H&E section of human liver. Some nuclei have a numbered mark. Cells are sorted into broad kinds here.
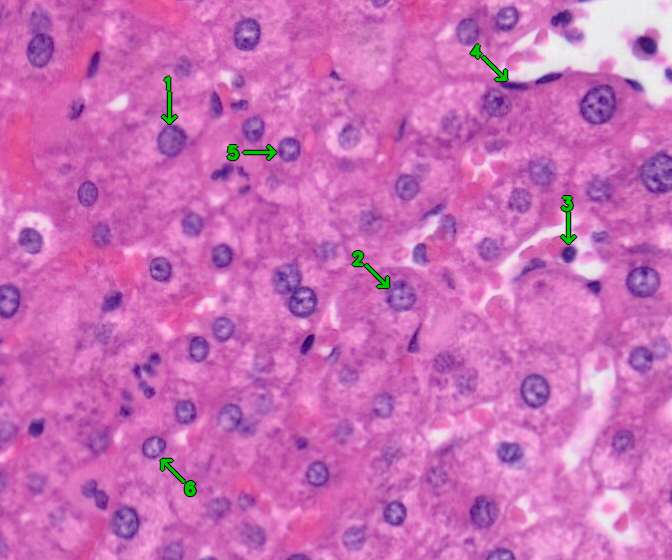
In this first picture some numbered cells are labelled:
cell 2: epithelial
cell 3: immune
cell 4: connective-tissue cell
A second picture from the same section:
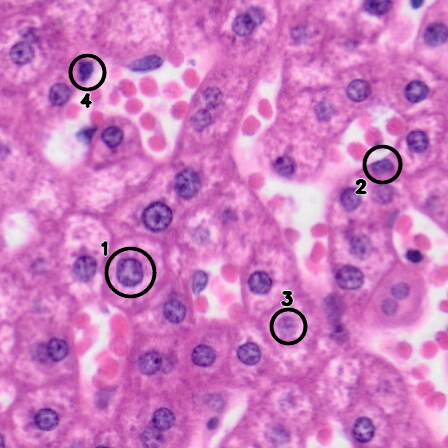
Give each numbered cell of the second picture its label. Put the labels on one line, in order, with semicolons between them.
epithelial; connective-tissue cell; epithelial; immune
